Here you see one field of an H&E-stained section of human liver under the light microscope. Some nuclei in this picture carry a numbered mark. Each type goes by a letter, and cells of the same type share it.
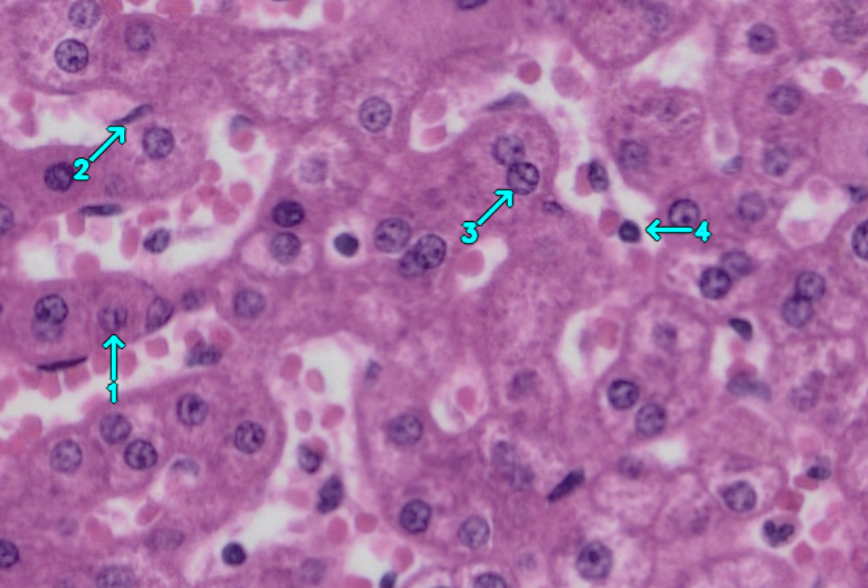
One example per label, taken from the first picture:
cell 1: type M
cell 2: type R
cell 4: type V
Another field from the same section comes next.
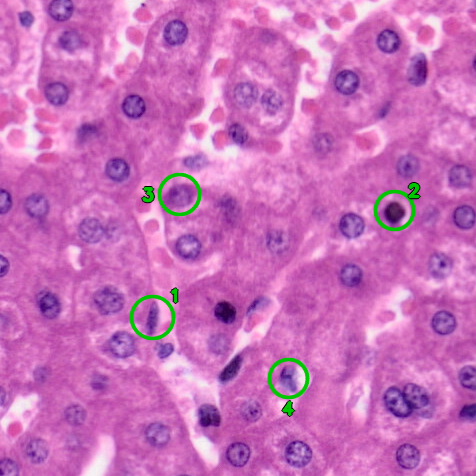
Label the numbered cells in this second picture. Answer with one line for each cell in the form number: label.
1: type R
2: type M
3: type M
4: type R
